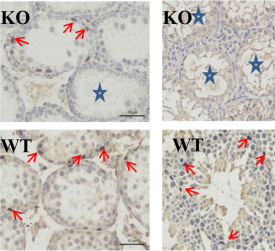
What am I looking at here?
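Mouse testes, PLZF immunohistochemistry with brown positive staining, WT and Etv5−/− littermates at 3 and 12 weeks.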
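Red arrows point to scattered brown-stained nuclei that sit at the outer edge of the tubules, against the tubule wall. Tubules marked with blue stars have large empty centres and only a thin rim of cells.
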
